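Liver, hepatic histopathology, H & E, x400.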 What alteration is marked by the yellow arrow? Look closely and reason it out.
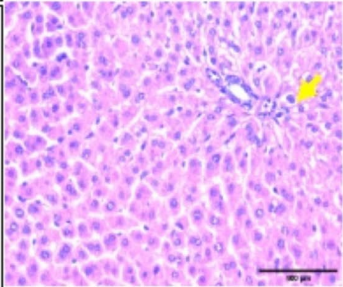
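Inflammatory cells infiltration. A few small dark nuclei cluster beside a portal vessel.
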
